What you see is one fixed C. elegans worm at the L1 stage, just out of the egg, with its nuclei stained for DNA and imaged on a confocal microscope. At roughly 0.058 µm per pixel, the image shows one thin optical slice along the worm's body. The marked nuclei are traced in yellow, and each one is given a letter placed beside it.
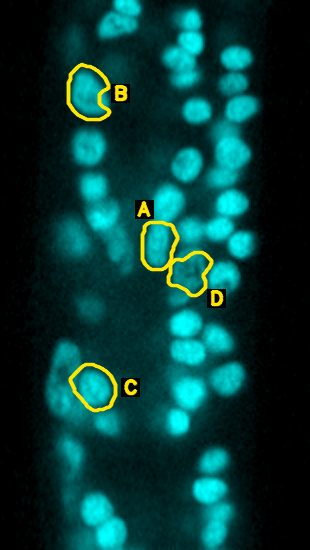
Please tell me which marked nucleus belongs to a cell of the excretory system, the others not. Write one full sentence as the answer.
Nucleus D belongs to a cell of the excretory system.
